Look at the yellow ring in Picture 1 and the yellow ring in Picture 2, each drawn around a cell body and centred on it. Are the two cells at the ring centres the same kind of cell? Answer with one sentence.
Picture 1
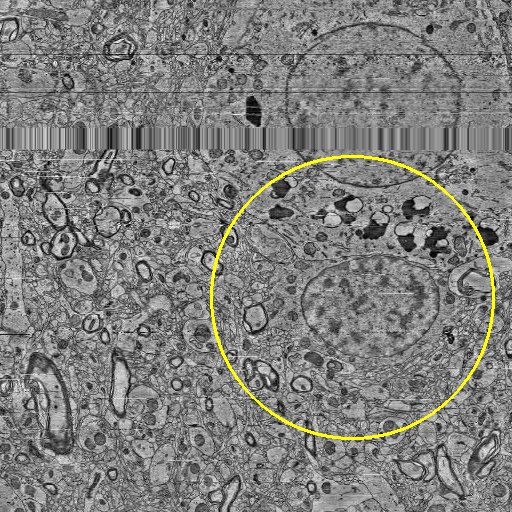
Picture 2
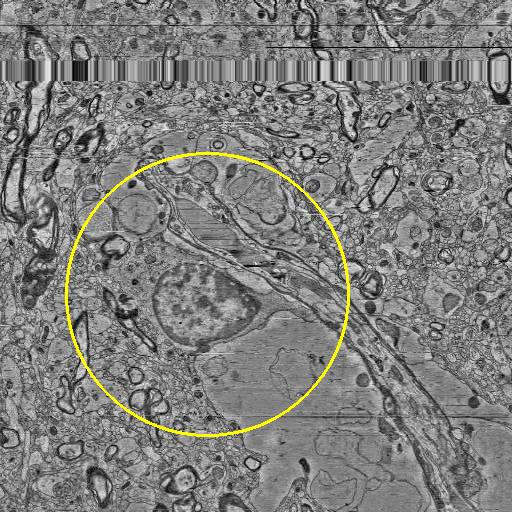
Yes, both are the same kind of cell.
